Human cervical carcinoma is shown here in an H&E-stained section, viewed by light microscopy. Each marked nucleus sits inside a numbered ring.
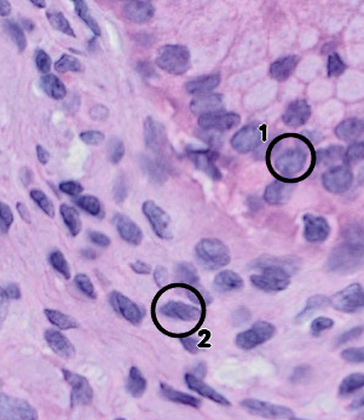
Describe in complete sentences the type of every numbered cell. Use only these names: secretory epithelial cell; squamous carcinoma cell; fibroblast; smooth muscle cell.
Cell 1 is a secretory epithelial cell. Cell 2 is a fibroblast.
